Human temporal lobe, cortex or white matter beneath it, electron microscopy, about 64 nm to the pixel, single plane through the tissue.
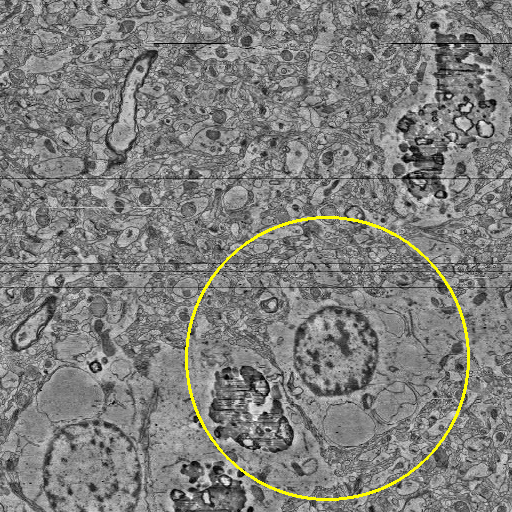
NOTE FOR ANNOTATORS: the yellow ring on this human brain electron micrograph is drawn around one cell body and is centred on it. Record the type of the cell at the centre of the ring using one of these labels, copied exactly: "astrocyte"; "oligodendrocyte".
astrocyte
